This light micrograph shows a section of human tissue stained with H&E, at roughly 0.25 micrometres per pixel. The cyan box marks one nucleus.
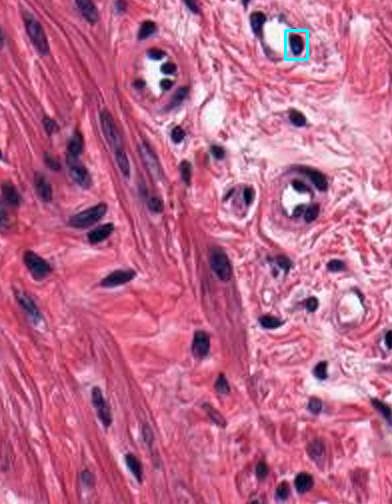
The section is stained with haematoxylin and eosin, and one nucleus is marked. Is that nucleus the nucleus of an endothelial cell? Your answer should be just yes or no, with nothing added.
yes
